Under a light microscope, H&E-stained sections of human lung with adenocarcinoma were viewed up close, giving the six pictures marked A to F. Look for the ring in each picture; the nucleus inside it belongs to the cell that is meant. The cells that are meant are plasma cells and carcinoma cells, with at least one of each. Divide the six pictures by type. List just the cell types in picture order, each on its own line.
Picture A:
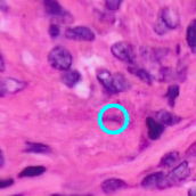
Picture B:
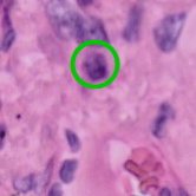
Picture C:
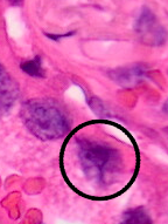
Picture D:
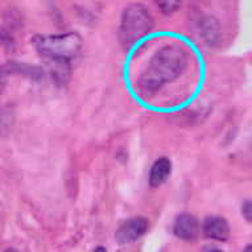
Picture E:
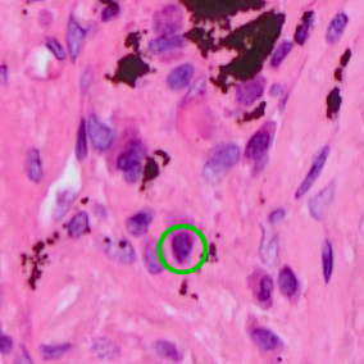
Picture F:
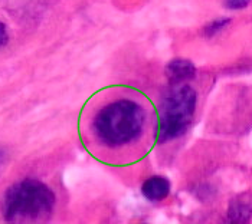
plasma cell
plasma cell
carcinoma cell
carcinoma cell
plasma cell
carcinoma cell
